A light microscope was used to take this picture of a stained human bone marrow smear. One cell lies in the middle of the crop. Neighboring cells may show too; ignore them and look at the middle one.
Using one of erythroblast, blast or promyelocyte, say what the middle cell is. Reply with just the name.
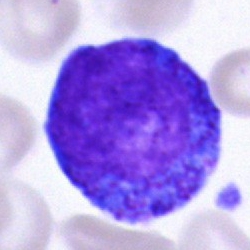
promyelocyte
